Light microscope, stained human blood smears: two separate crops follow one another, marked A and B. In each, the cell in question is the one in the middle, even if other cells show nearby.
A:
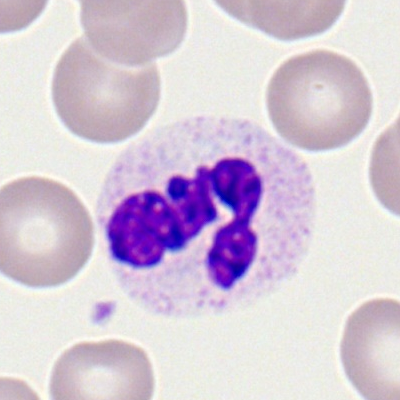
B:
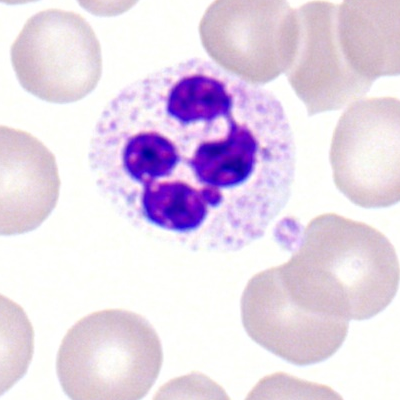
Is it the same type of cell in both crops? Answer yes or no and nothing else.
yes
